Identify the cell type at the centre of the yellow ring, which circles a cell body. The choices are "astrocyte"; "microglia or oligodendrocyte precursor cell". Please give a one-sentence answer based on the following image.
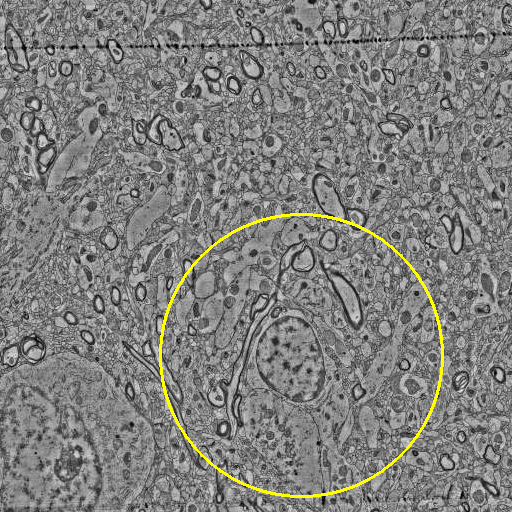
The cell marked by the ring is a microglial cell or oligodendrocyte precursor cell.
